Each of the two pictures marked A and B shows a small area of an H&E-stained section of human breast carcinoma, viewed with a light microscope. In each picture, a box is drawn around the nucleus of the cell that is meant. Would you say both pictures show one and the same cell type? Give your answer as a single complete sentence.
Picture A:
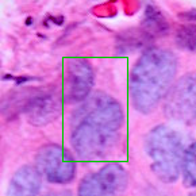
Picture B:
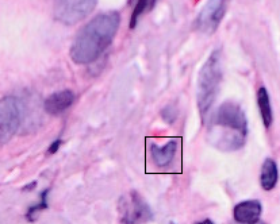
No. Picture A shows a carcinoma cell, but picture B shows an endothelial cell.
